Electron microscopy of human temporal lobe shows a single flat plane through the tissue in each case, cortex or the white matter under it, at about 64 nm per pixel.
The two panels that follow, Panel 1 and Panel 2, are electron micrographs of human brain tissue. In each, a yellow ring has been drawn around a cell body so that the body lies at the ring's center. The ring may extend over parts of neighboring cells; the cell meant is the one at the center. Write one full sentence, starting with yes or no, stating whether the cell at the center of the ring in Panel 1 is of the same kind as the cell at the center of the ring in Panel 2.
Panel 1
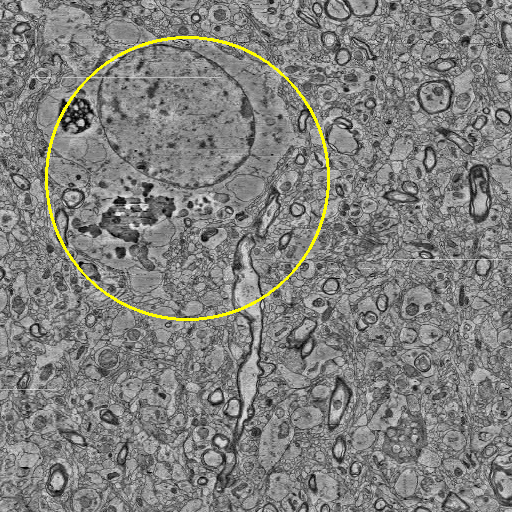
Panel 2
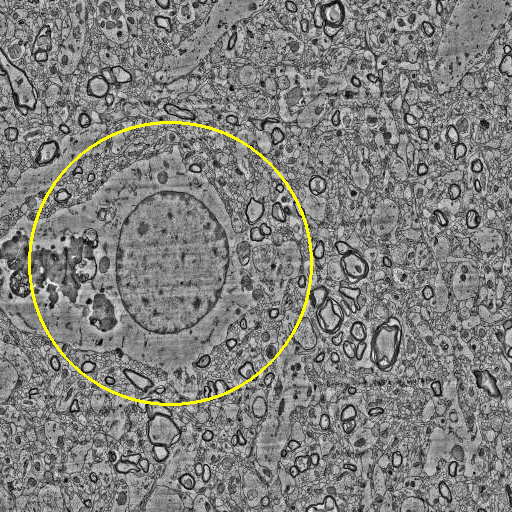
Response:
Yes, the cells in both panels are of the same kind.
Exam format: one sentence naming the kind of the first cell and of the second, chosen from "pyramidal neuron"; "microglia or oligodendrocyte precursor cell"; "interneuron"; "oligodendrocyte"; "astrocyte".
Each cell at the centre of a ring is an astrocyte.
